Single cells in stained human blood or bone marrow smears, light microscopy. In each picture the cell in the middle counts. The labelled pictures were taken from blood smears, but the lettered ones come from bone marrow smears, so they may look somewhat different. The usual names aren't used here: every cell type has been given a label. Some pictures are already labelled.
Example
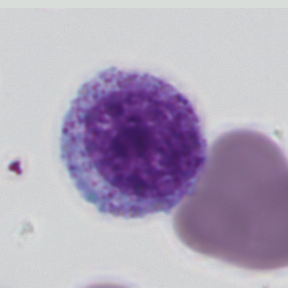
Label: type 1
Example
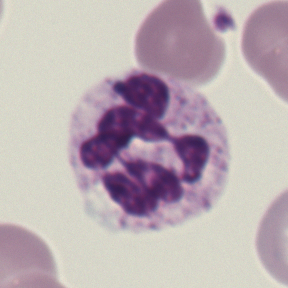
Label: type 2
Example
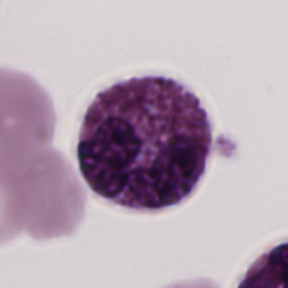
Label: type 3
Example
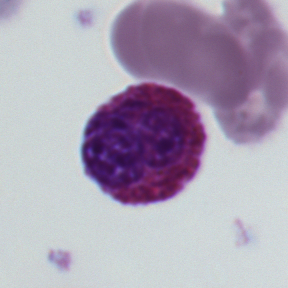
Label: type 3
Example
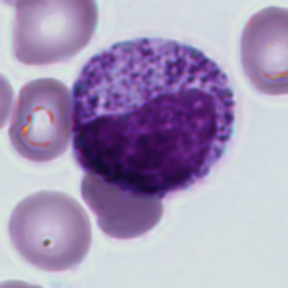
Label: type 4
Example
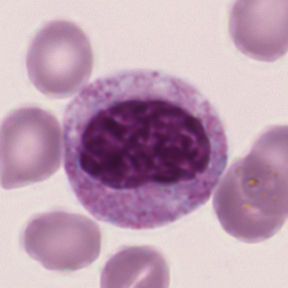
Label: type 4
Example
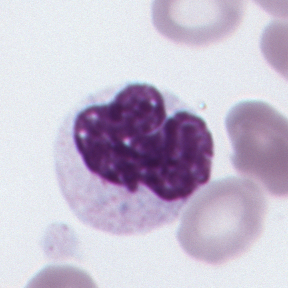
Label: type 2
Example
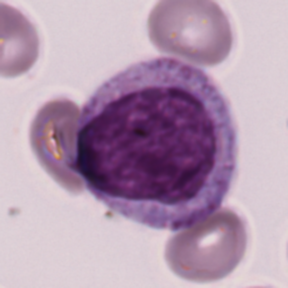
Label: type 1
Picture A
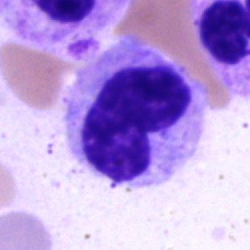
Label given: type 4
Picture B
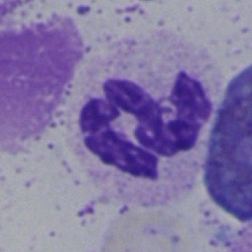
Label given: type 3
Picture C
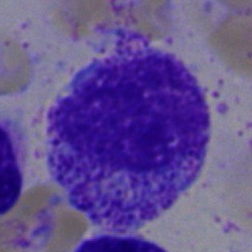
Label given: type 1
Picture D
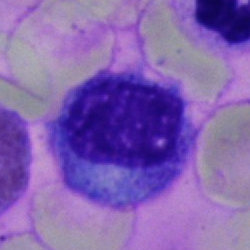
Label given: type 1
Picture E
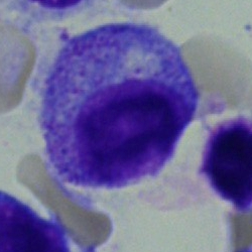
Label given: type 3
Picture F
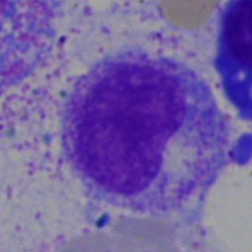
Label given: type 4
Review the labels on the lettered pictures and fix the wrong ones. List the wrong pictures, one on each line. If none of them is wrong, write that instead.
B should be type 2, not type 3
E should be type 1, not type 3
